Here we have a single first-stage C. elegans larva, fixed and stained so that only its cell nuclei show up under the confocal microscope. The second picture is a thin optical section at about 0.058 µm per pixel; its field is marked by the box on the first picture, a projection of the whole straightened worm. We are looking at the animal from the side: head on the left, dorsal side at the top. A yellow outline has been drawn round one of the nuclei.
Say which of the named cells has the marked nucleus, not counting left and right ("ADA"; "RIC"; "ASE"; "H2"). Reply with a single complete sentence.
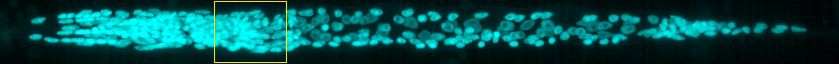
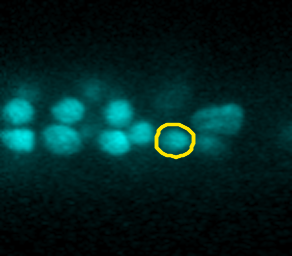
The cell whose nucleus is marked is ADA, a neuron.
